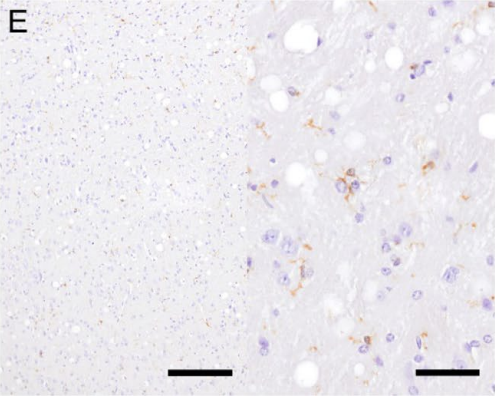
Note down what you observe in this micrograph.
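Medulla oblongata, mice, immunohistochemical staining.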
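Brainstem tissue with scattered microglia stained brown against a pale background. At low magnification small brown cells are sparsely spread among many blue nuclei. In the enlarged view the brown cells have small cell bodies with several short, thin, branching processes, lying singly and well apart from one another. Surrounding blue nuclei and larger pale cell bodies remain unstained. Numerous round, clear empty spaces of varying size are scattered through the tissue, giving it a vacuolated appearance.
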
